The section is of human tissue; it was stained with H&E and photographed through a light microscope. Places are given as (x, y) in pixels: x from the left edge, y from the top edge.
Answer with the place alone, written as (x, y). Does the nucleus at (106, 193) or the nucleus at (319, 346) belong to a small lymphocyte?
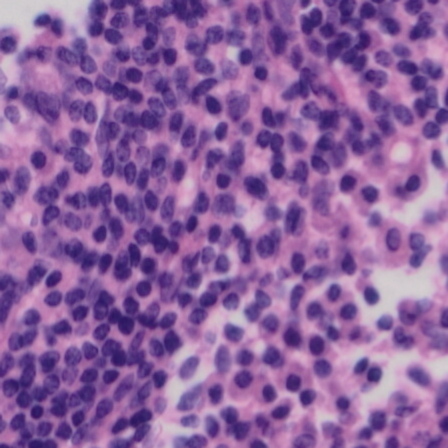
(106, 193)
